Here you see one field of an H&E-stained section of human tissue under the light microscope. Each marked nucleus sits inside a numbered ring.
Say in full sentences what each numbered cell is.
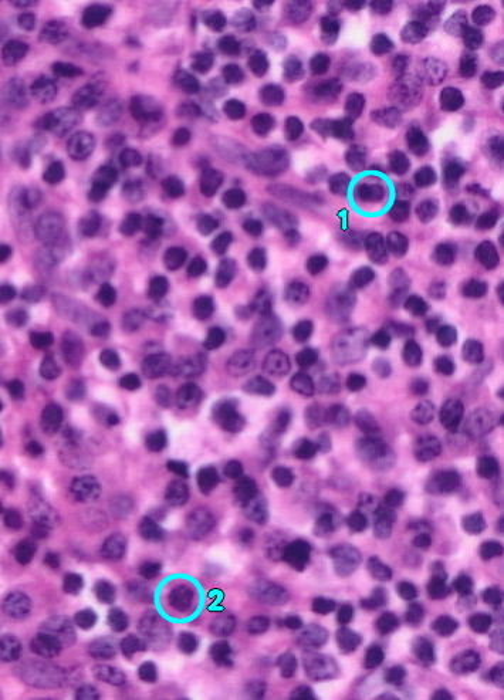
Cell 1 is a small lymphocyte and cell 2 is a plasma cell.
